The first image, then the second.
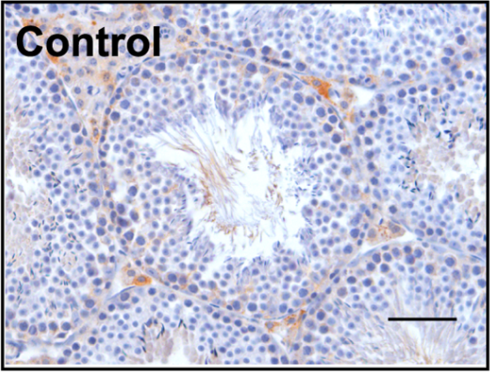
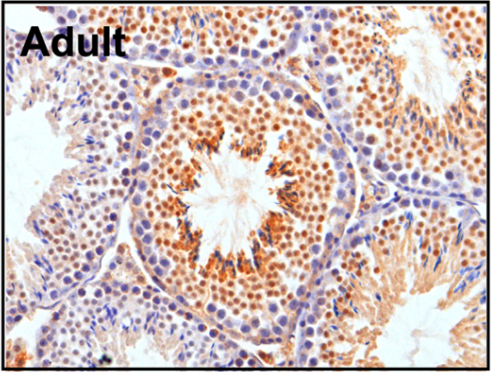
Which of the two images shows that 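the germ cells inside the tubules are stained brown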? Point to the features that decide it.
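The second image. First image: germ cells within the tubules have blue nuclei only. Second image: many germ cell nuclei toward the lumen are brown.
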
